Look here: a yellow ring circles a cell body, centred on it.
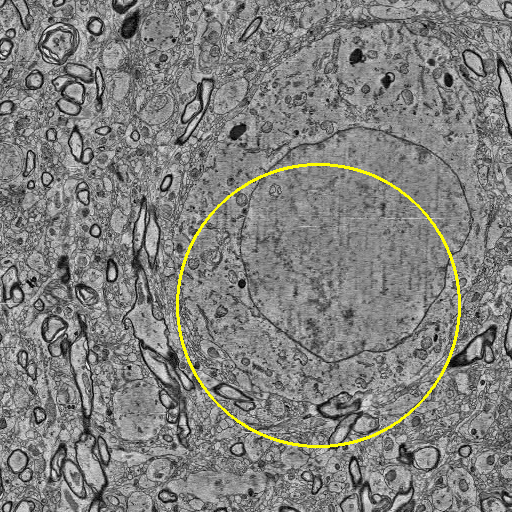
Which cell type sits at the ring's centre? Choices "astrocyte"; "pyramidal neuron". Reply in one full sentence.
The cell at the centre of the yellow ring in the picture is a pyramidal neuron.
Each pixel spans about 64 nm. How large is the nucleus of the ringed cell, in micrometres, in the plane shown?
Roughly 15 micrometres across for the nucleus, in this plane.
